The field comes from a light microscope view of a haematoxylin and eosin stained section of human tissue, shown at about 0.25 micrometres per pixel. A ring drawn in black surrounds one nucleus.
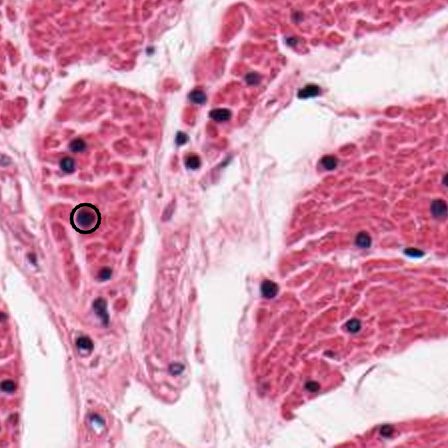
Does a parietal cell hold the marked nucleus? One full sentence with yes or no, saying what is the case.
No, the marked nucleus is not owned by a parietal cell.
